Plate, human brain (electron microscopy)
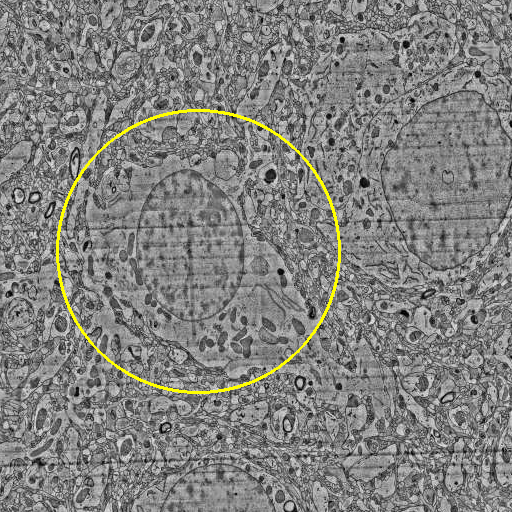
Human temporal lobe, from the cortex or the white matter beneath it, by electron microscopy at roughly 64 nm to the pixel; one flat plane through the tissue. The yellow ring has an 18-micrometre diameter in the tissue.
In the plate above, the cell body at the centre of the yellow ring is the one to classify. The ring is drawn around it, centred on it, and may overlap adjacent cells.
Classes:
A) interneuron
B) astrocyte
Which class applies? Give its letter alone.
B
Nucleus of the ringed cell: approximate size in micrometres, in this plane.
In this plane, the nucleus is roughly 10 by 7 micrometres.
